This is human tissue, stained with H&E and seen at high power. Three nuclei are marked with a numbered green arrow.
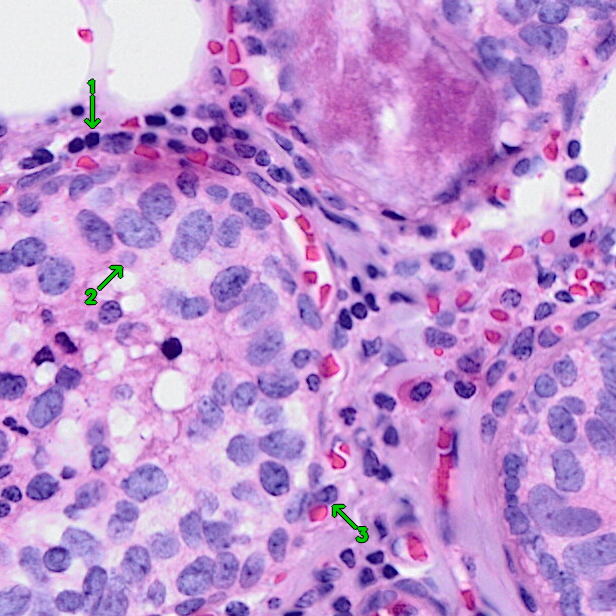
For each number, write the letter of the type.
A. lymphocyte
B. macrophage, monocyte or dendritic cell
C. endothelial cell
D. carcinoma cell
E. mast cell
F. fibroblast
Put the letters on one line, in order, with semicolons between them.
A; D; C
